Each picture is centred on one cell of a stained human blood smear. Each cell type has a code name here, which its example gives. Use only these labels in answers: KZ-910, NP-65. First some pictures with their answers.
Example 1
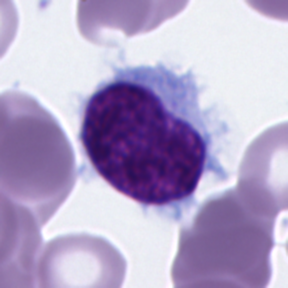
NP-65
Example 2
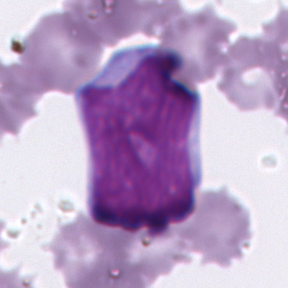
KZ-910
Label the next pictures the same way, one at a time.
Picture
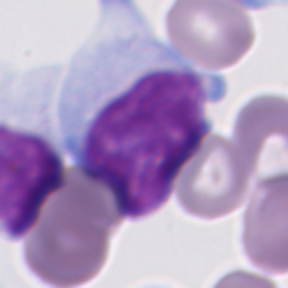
KZ-910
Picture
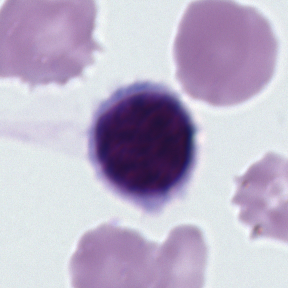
NP-65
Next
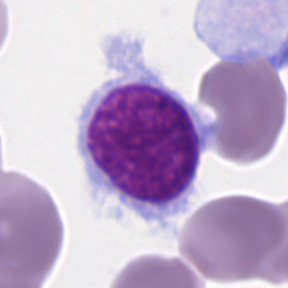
NP-65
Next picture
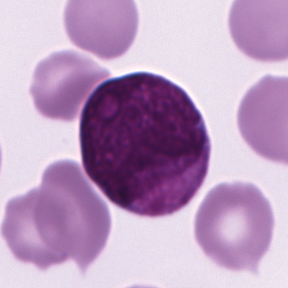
KZ-910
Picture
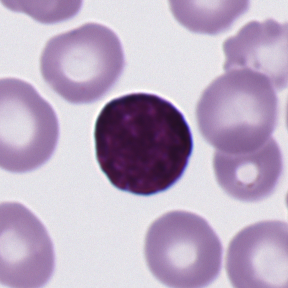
KZ-910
